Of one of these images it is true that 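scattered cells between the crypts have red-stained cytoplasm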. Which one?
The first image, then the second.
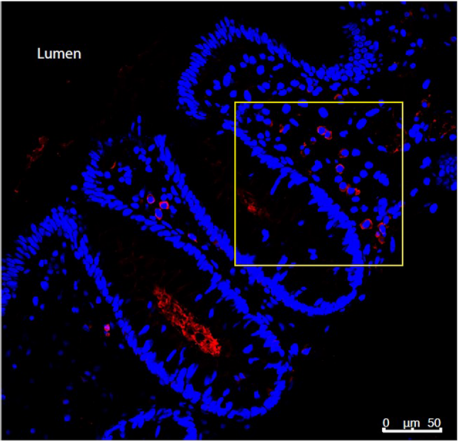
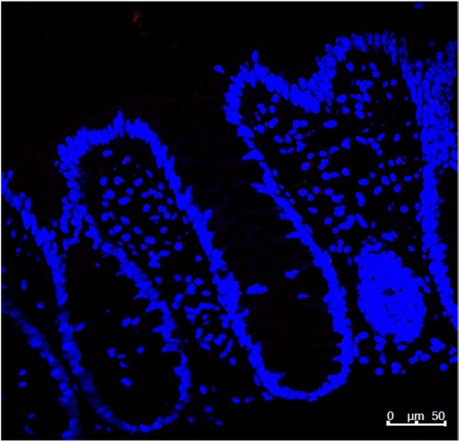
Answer: the first image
